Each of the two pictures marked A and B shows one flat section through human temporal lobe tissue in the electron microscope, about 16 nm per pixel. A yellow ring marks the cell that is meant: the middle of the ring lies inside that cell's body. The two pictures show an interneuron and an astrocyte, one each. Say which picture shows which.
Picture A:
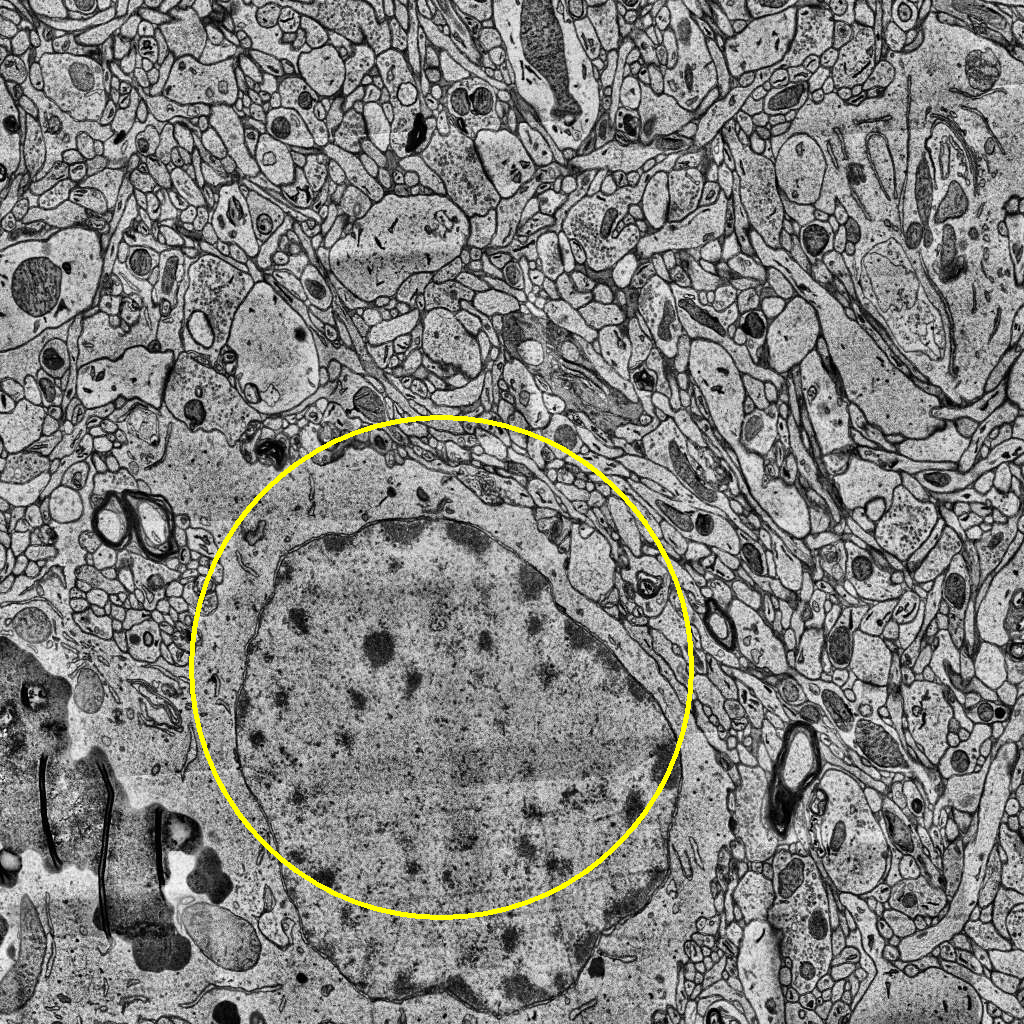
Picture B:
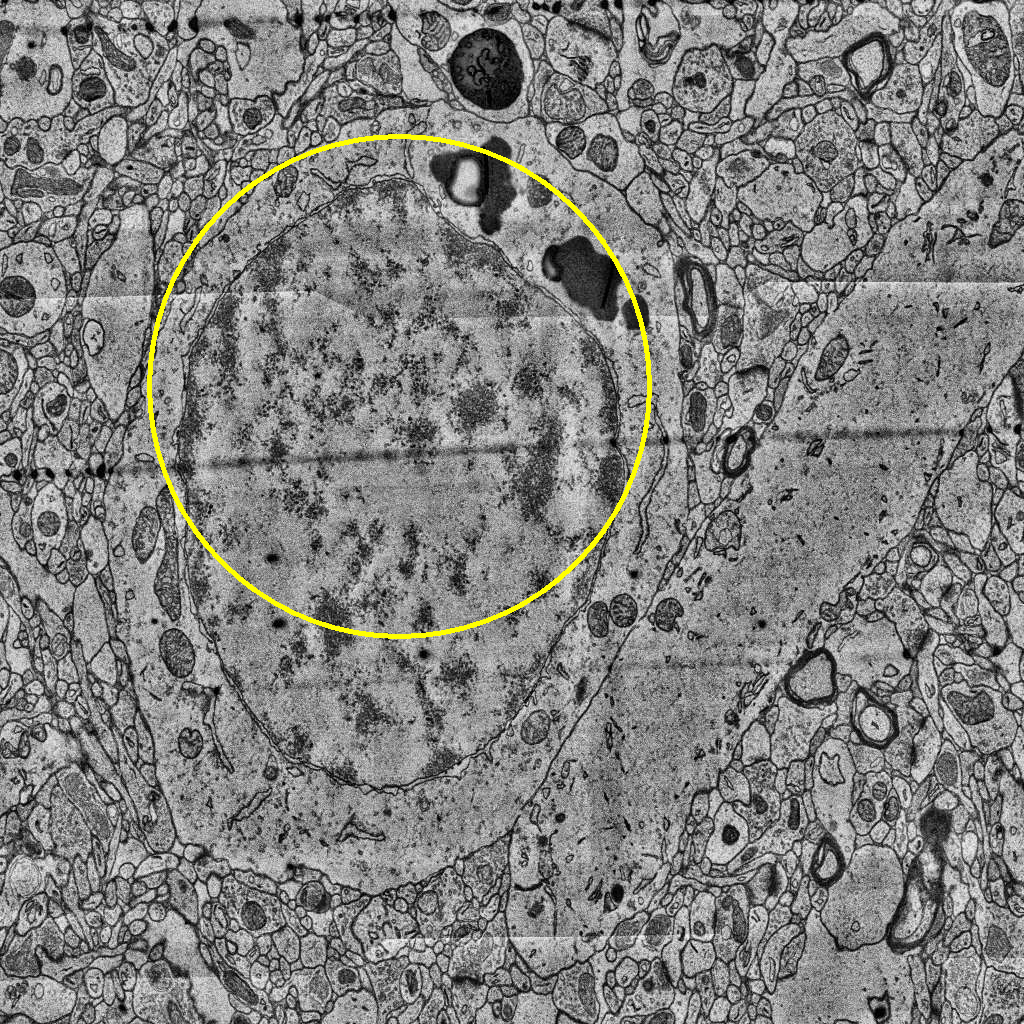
In picture A the cell is an astrocyte; in picture B, an interneuron.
